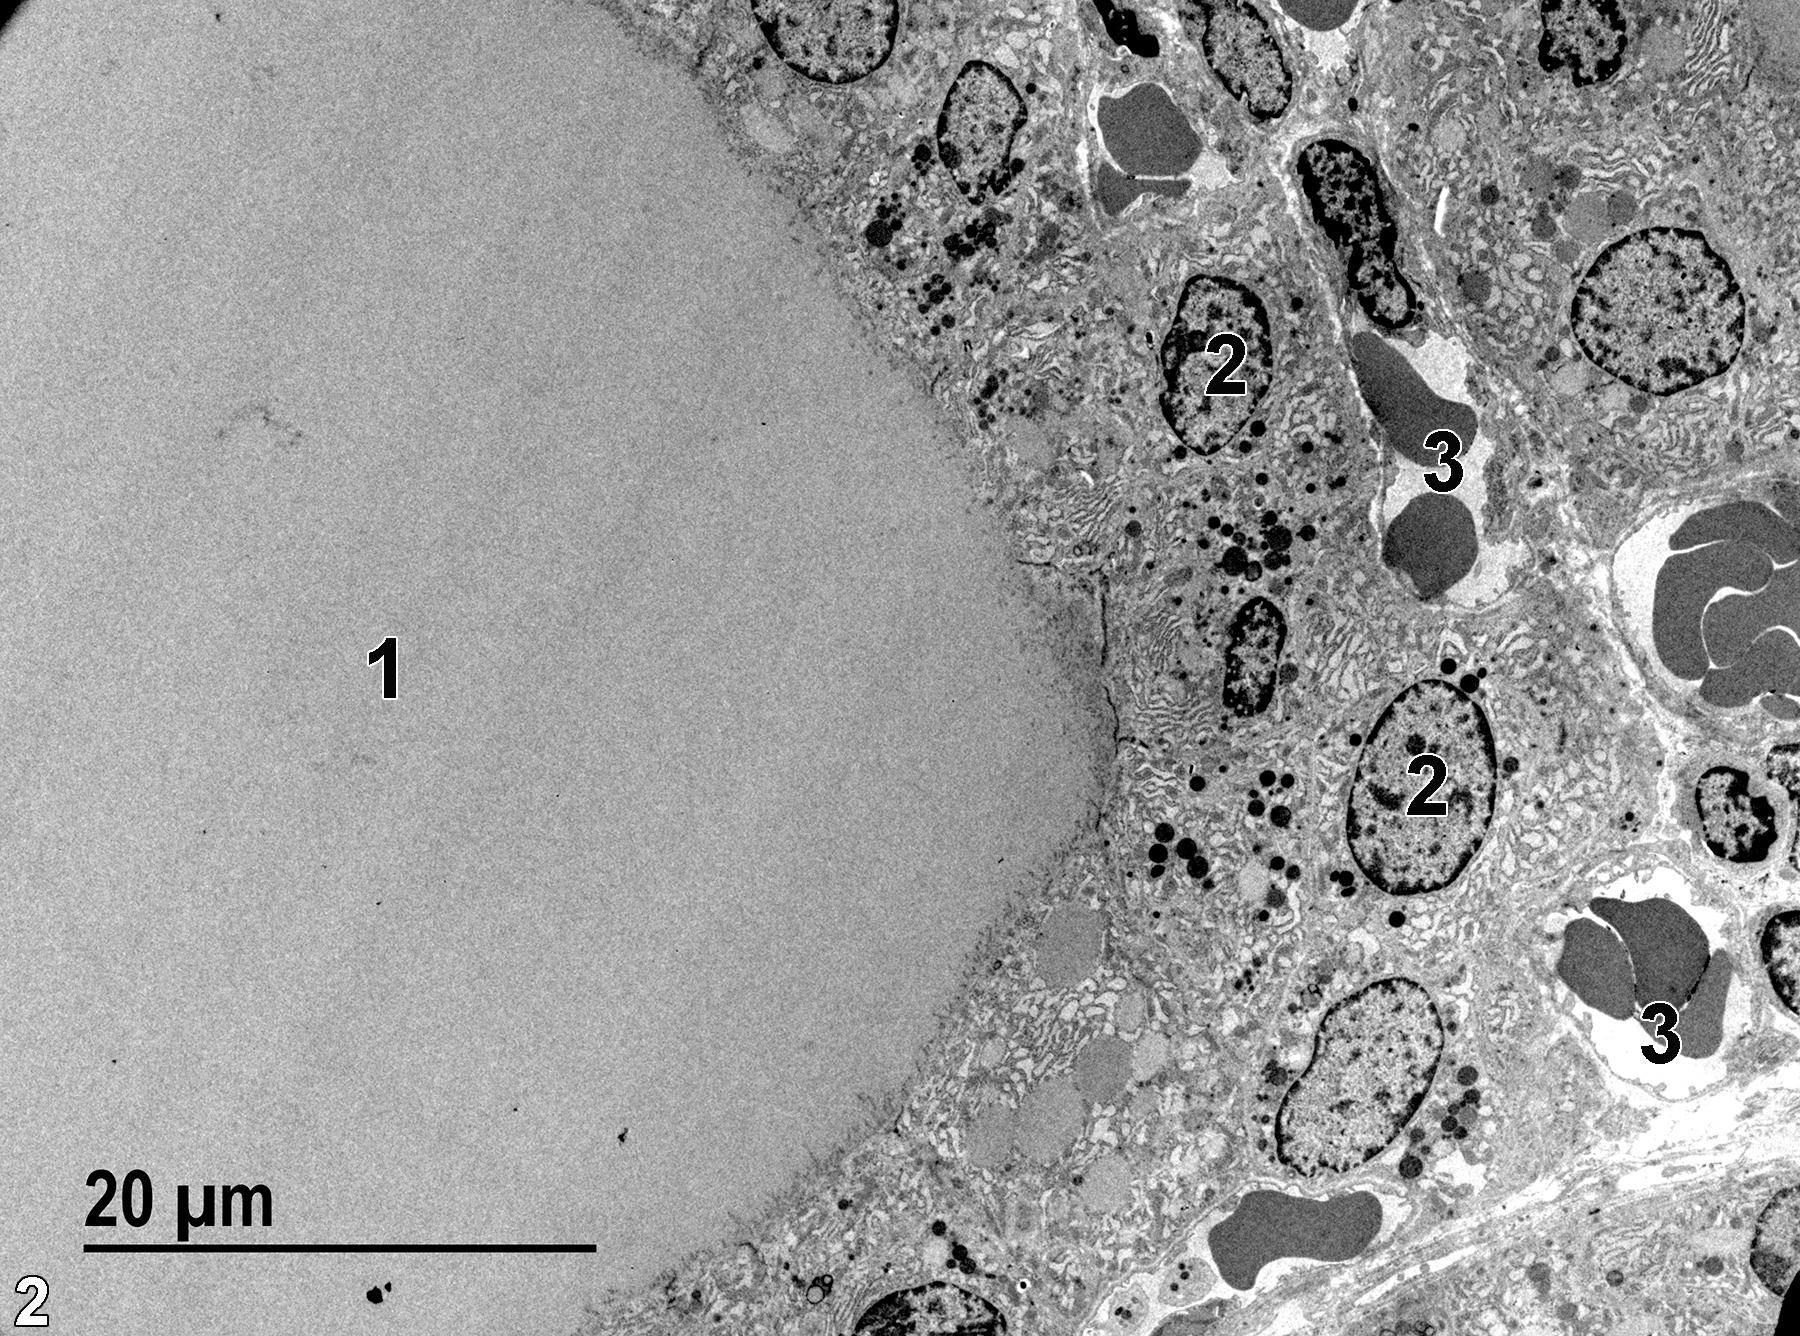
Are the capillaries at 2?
No, 2 marks the basal nuclei.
